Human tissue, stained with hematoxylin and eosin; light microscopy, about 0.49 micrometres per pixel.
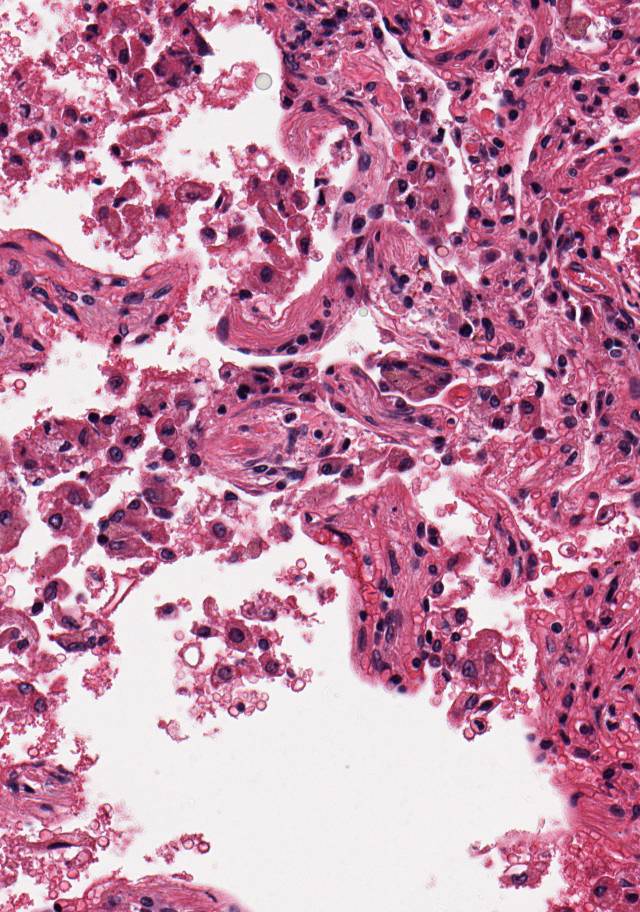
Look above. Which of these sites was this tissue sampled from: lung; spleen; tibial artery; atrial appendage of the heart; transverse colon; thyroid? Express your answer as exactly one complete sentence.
Sampling of this tissue was done from the lung.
